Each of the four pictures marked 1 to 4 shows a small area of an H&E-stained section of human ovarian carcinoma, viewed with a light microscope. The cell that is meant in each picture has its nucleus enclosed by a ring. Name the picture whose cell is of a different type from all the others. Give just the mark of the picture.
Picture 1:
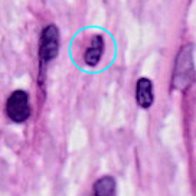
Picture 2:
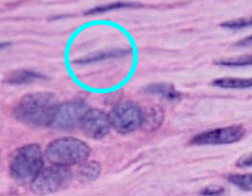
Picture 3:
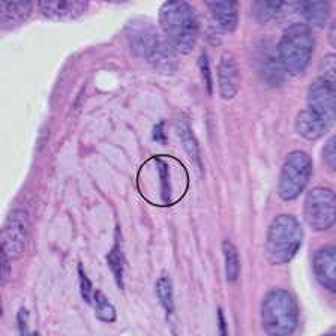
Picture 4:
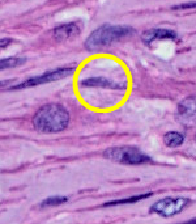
1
